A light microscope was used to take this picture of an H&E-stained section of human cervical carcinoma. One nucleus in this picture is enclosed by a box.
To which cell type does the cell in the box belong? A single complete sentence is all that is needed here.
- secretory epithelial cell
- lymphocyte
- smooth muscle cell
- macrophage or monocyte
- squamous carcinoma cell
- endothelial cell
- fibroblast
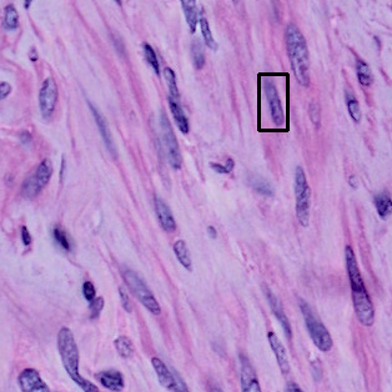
For the purposes of cell typing, the cell in the box is categorized as a smooth muscle cell.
